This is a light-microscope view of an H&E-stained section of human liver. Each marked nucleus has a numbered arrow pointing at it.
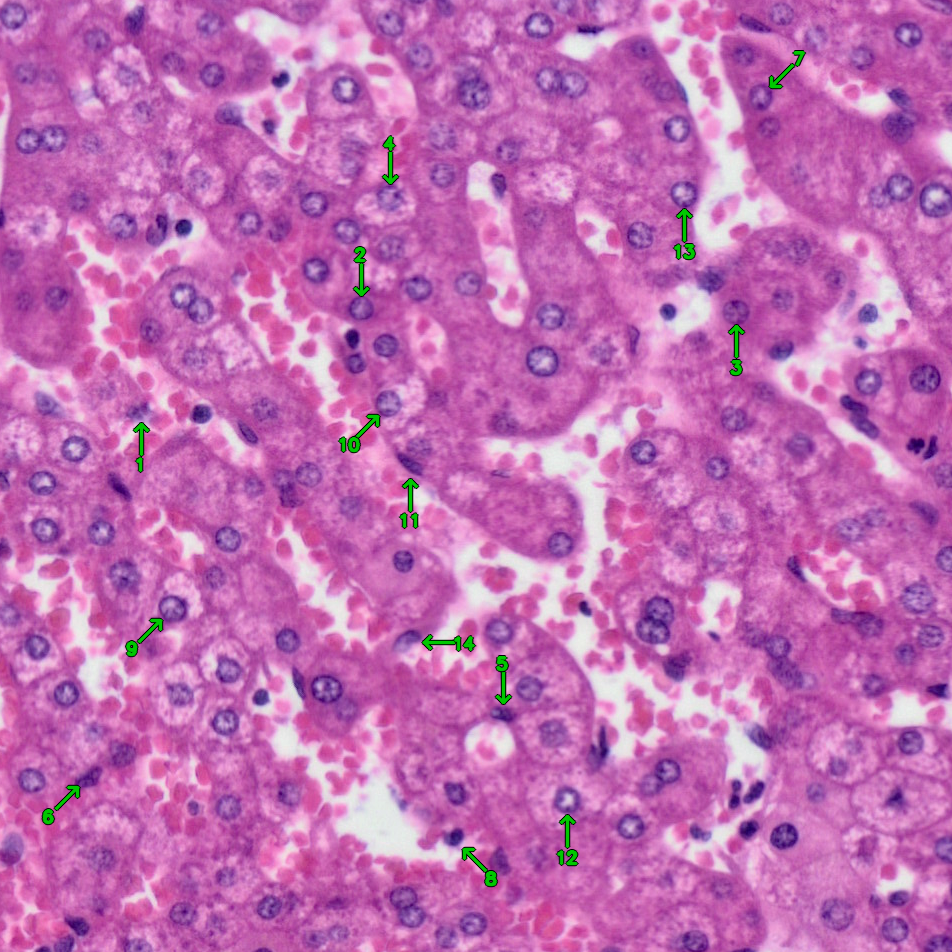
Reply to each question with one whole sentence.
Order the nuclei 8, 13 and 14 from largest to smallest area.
The nuclei rank 13, 14, 8, from largest to smallest.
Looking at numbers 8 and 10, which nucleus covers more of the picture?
It is nucleus 10, which covers about 1.5 times the area of nucleus 8.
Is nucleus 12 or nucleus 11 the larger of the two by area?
It is nucleus 12, which covers about 1.5 times the area of nucleus 11.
